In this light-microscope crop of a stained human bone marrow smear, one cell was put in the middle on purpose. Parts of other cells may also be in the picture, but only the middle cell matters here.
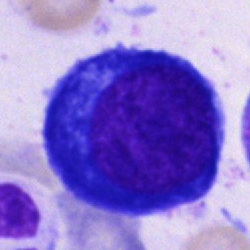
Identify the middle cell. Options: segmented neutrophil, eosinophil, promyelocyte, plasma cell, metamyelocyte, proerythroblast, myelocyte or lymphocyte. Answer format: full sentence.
On this slide crop, the central cell is a proerythroblast.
